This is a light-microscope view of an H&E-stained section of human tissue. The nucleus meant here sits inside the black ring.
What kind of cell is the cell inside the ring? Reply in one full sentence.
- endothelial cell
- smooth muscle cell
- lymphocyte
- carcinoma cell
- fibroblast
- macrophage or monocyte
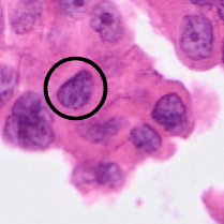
The cell type of the cell inside the ring is that of a carcinoma cell.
